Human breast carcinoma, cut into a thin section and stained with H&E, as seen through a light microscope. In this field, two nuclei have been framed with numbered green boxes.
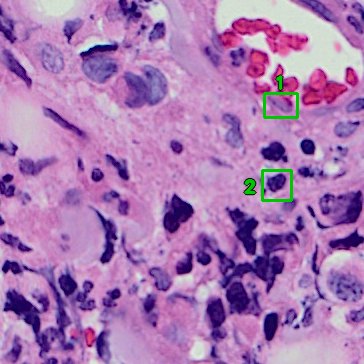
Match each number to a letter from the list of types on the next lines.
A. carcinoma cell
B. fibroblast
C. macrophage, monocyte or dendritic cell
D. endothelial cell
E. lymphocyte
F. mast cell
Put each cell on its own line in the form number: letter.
1: D
2: E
